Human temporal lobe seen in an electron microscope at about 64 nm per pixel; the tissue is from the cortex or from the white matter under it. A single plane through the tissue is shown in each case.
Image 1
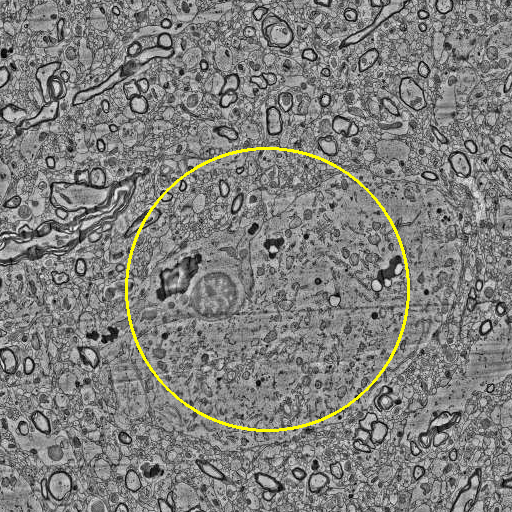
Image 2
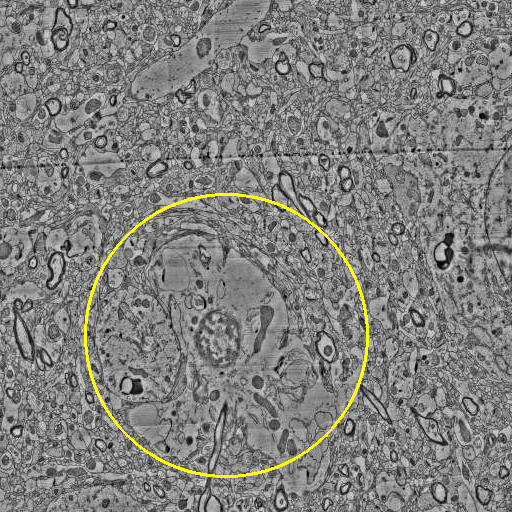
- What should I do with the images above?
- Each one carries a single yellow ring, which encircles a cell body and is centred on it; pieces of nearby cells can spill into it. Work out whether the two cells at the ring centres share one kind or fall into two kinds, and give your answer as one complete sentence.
The ring-centre cells of Image 1 and Image 2 fall into two kinds.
